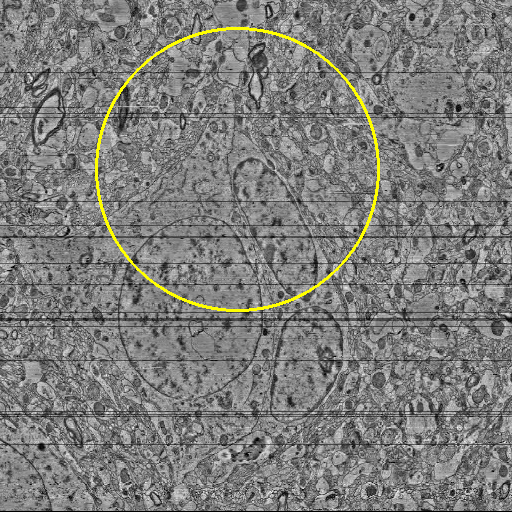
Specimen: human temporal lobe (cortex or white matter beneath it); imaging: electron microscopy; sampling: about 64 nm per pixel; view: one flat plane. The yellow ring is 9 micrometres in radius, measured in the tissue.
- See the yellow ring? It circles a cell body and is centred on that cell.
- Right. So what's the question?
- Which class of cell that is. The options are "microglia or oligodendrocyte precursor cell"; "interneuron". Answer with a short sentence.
The centre of the ring holds a microglial cell or oligodendrocyte precursor cell.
